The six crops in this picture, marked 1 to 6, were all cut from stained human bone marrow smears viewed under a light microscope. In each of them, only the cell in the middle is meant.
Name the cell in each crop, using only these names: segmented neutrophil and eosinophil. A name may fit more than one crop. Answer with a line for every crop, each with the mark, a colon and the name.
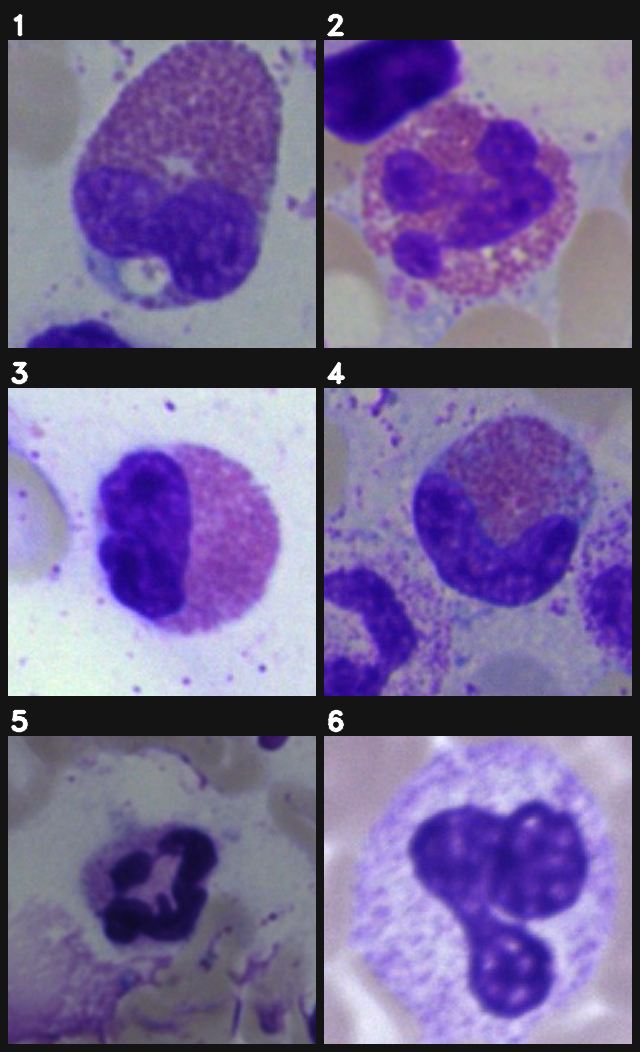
1: eosinophil
2: eosinophil
3: eosinophil
4: eosinophil
5: segmented neutrophil
6: segmented neutrophil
